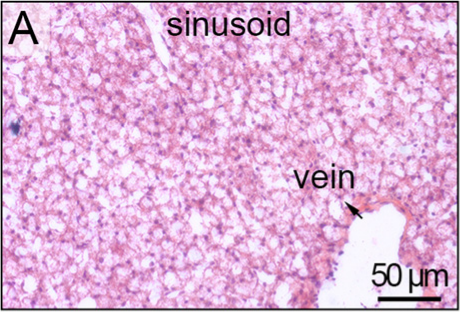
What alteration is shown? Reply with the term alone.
Steatotic vesicles.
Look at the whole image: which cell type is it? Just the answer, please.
hepatocytes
